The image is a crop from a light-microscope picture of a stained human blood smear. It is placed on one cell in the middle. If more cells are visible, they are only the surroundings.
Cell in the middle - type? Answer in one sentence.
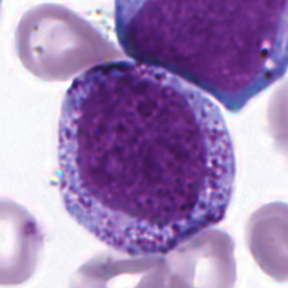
The crop shows a promyelocyte in its centre.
